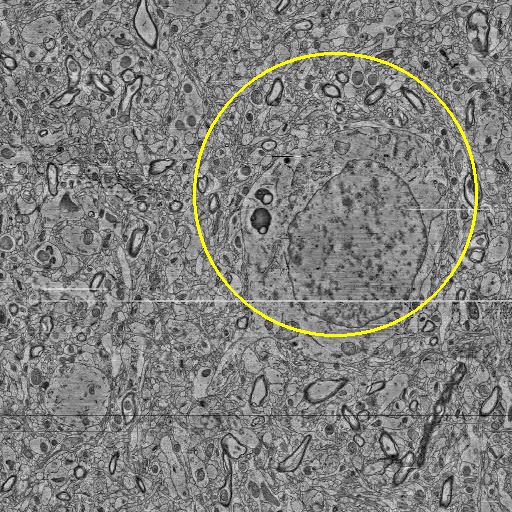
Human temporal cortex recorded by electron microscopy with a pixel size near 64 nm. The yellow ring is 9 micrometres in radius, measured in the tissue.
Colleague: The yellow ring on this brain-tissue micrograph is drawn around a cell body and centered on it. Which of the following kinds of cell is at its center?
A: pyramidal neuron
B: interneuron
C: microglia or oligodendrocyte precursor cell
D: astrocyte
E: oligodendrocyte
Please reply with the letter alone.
A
